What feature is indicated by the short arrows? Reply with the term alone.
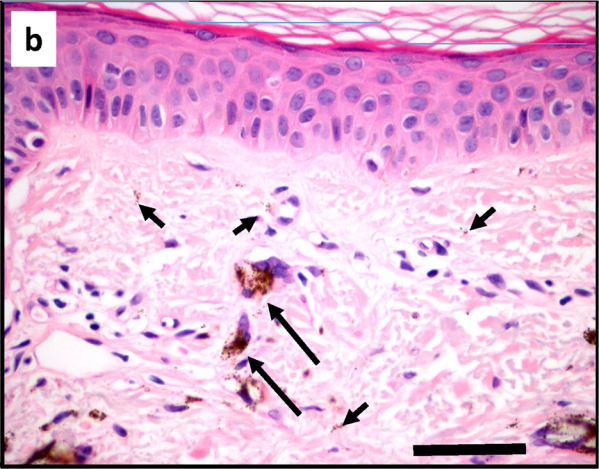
Extracellular particles.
